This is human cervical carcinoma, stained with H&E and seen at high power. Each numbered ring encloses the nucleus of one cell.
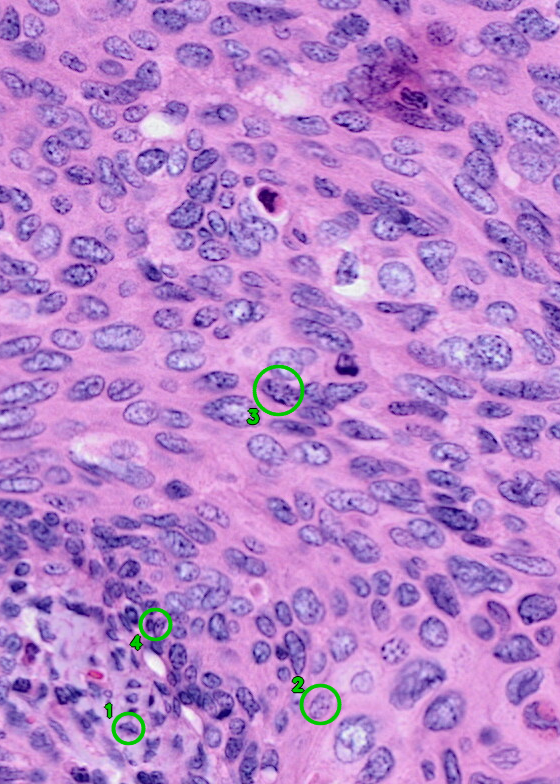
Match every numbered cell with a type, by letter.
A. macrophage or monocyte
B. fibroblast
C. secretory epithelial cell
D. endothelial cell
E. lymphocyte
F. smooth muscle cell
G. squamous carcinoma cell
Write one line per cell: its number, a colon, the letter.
1: B
2: G
3: G
4: G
